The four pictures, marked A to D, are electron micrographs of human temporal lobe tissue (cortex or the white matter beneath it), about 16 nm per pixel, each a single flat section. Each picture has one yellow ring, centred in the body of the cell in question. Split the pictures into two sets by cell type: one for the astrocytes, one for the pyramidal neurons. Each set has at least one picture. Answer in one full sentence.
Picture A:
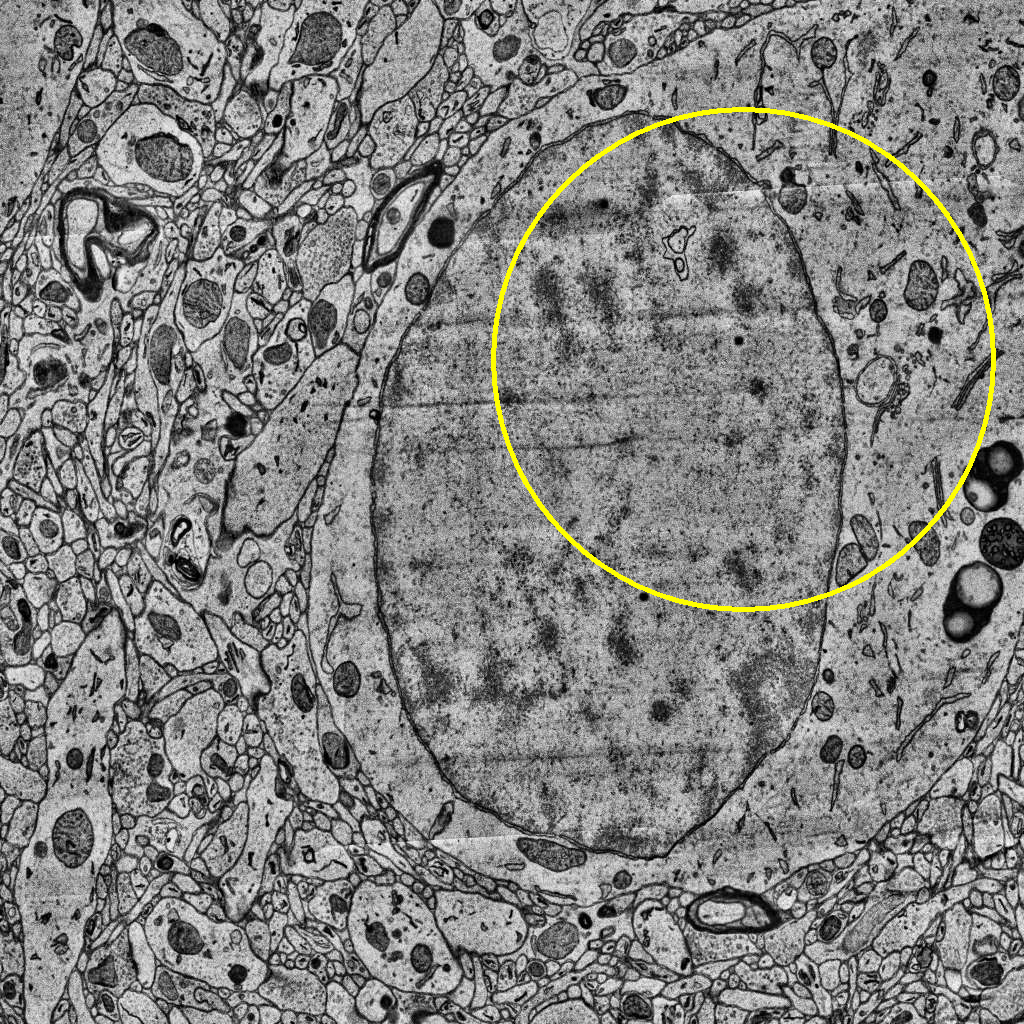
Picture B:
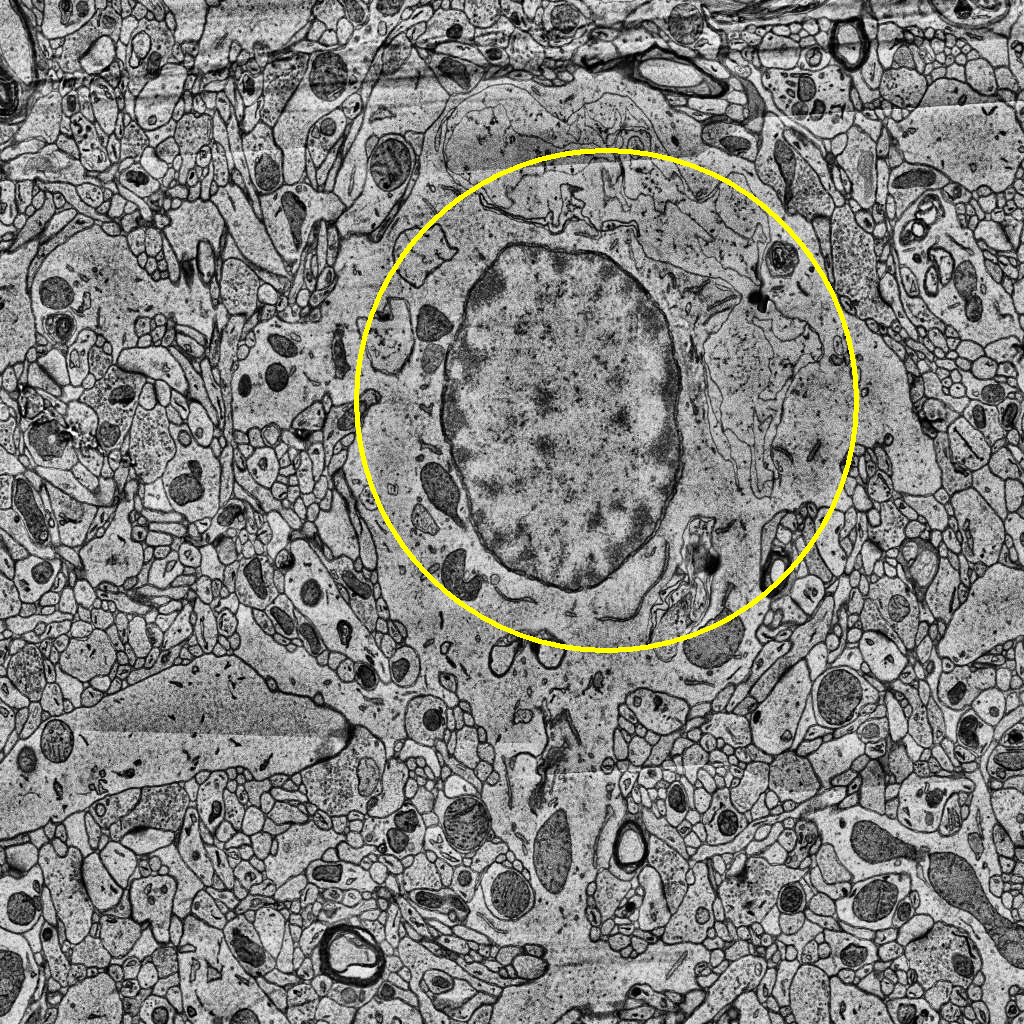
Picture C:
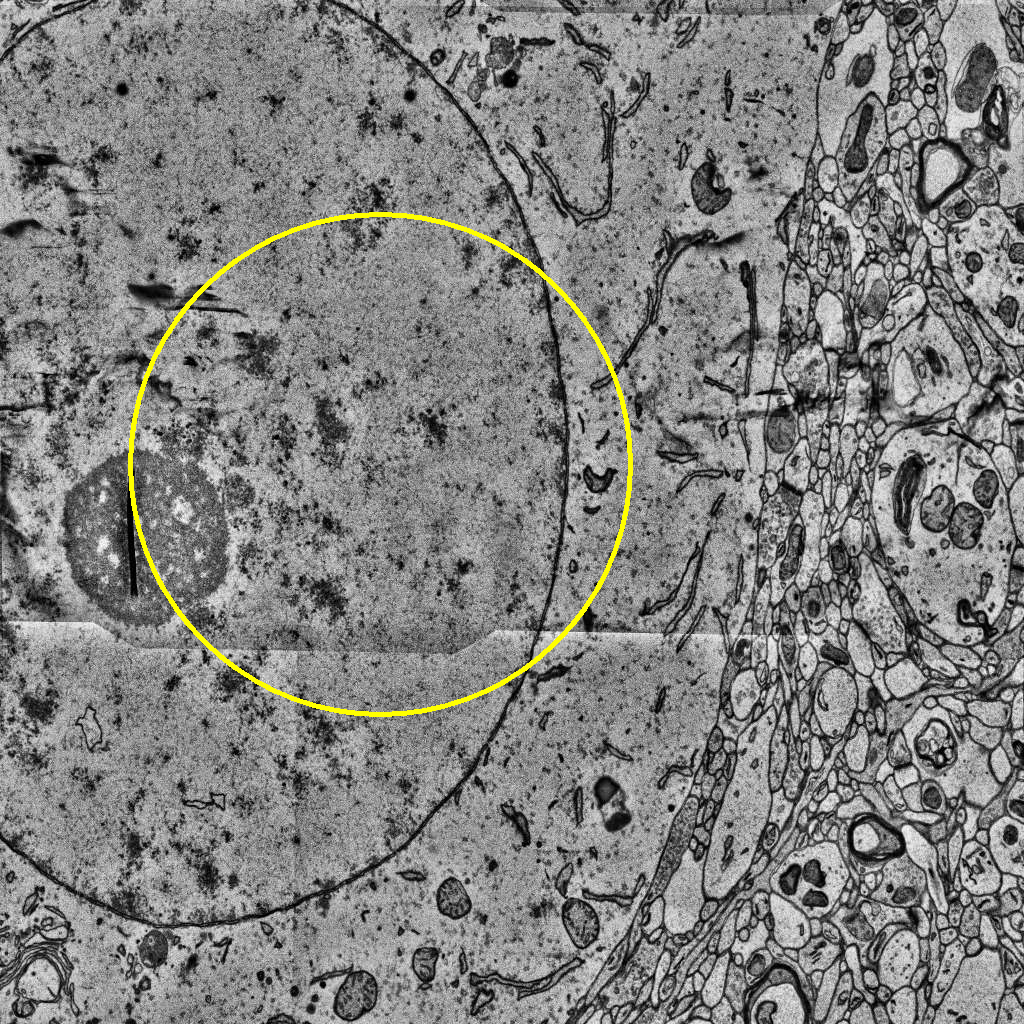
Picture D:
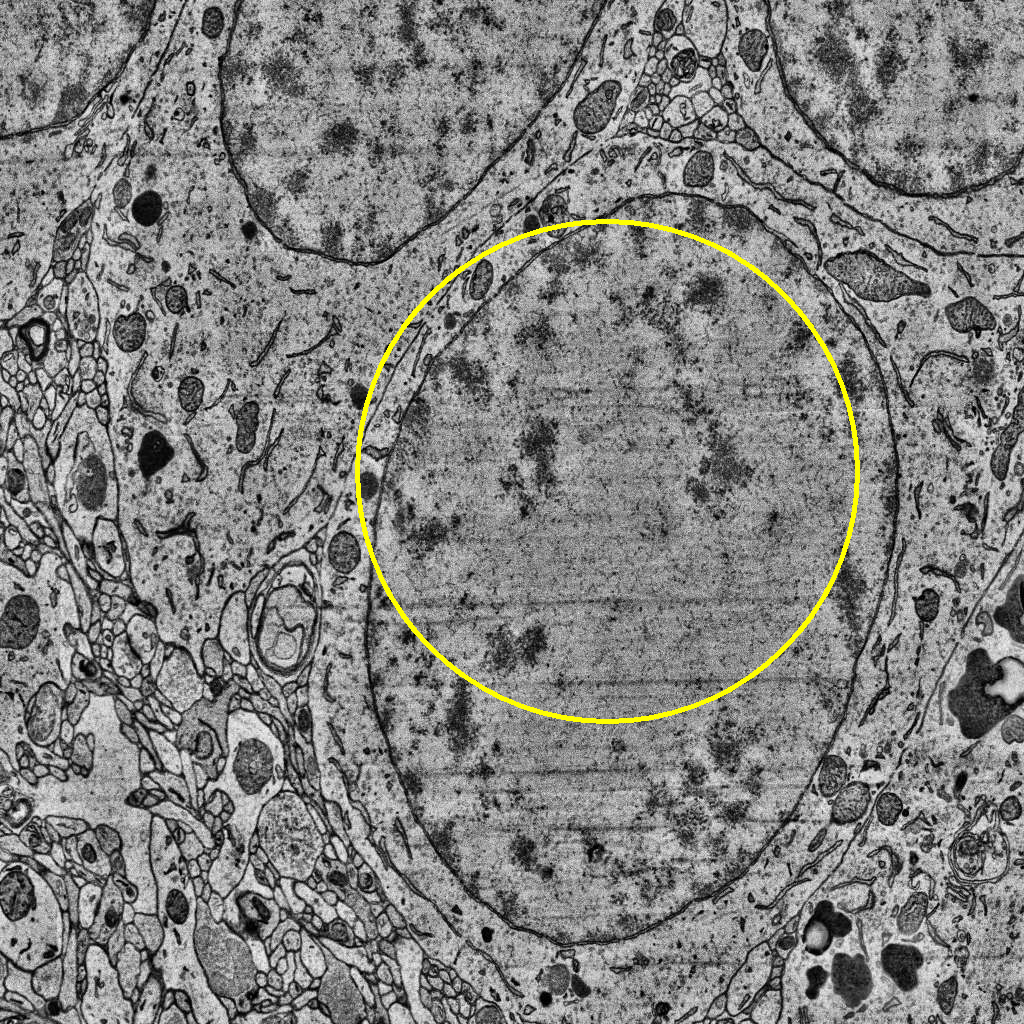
Picture B shows an astrocyte, and pictures A, C and D show pyramidal neurons.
